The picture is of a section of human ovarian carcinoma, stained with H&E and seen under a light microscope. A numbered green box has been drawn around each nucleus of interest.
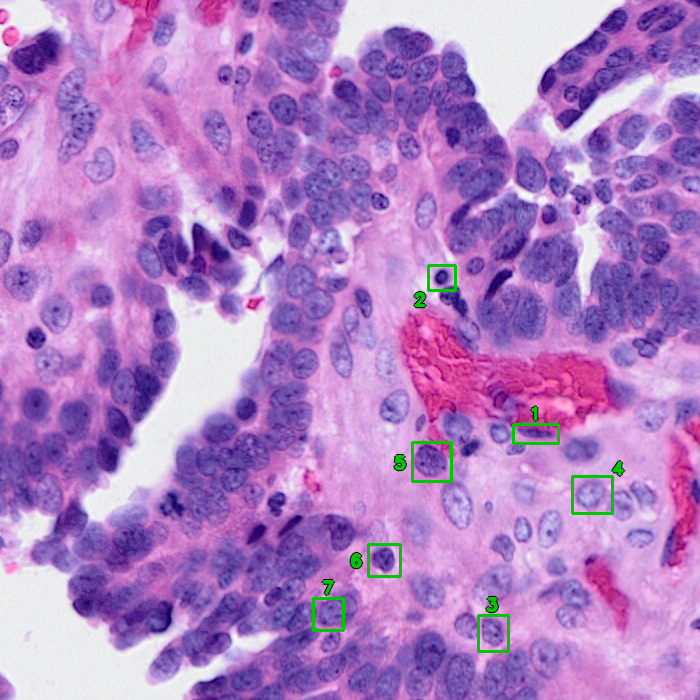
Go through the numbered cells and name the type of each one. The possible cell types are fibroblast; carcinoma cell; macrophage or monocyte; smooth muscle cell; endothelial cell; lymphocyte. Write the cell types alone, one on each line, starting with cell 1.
endothelial cell
lymphocyte
macrophage or monocyte
fibroblast
endothelial cell
lymphocyte
carcinoma cell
